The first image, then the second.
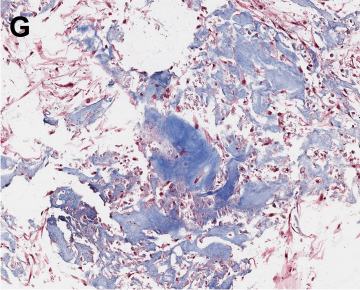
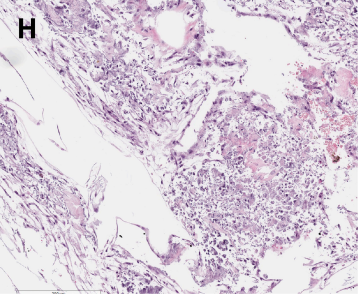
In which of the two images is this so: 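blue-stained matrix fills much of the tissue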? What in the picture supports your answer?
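Second image: the tissue is pink to purple with densely packed nuclei and no clear blue areas. First image: large confluent blue-stained masses occupy much of the field.
The first image.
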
